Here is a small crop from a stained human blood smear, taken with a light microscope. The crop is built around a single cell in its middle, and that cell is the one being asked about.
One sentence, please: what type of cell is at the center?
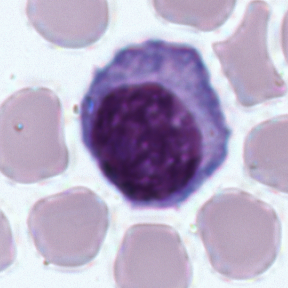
The cell at the heart of this crop is a plasma cell.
